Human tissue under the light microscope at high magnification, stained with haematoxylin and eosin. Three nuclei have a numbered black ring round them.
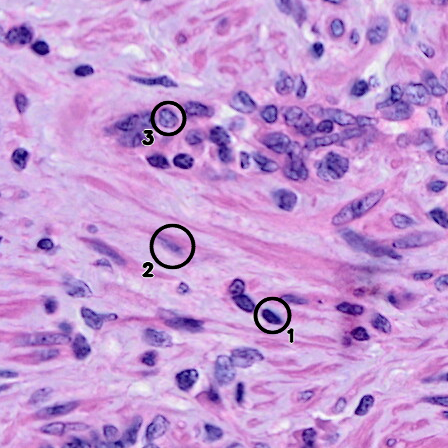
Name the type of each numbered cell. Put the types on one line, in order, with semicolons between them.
lymphocyte; smooth muscle cell; endothelial cell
